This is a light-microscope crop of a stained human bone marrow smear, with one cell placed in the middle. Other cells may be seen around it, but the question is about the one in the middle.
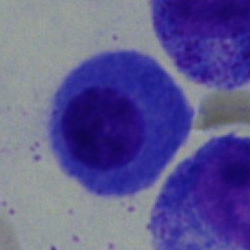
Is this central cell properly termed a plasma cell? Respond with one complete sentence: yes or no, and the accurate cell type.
Yes, the cell in the center of the field is a plasma cell.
